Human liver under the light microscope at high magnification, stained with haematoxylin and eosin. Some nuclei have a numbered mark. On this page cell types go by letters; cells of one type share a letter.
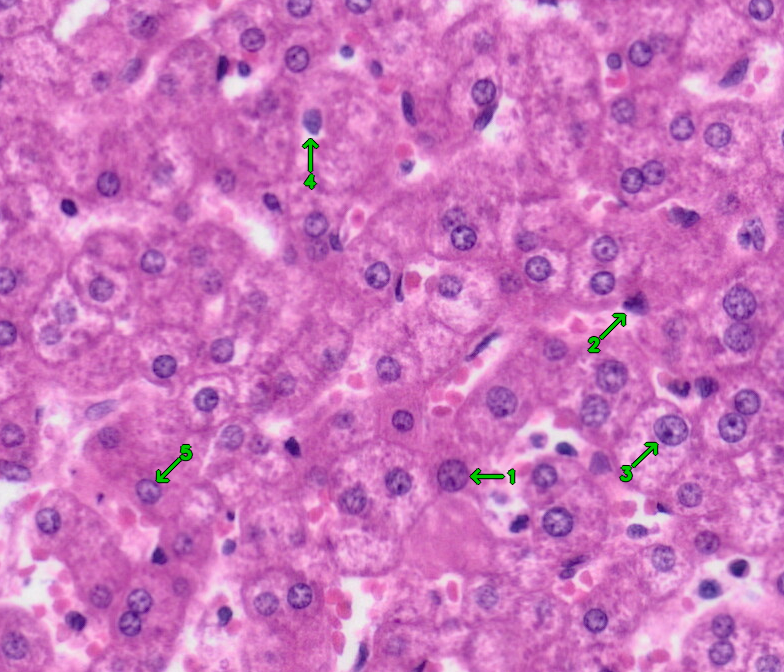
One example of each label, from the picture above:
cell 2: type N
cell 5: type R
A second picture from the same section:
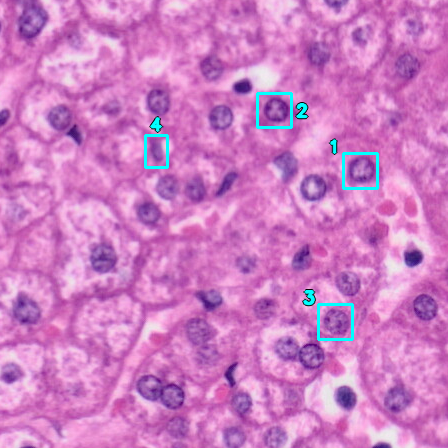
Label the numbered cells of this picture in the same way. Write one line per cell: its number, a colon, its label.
1: type R
2: type R
3: type R
4: type N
